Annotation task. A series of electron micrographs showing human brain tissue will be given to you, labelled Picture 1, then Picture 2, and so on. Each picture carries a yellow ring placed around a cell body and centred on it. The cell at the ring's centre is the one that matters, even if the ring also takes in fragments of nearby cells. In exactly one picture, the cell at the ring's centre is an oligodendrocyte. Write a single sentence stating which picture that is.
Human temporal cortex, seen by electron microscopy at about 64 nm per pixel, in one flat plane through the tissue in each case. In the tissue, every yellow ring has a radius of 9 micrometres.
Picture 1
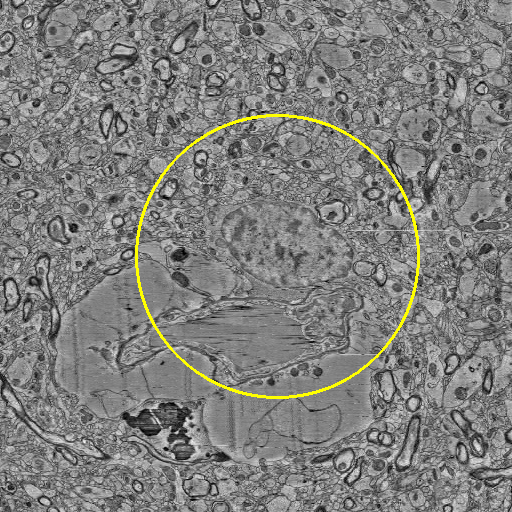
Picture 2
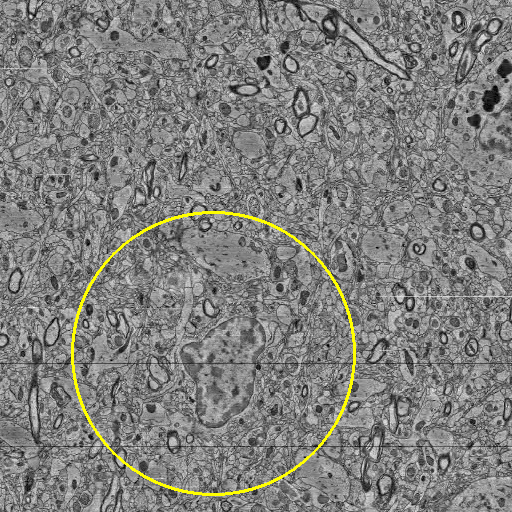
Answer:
Picture 1 holds the requested cell at the very centre of its ring.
